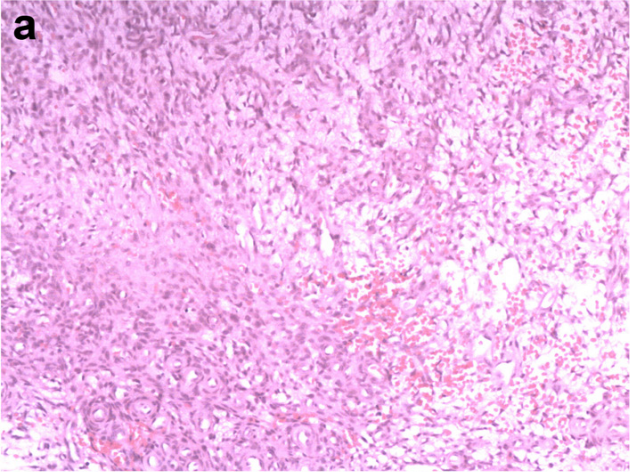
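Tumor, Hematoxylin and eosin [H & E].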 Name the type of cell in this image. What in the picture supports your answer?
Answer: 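Densely packed elongated cells fill most of the field. Nuclei are dark purple and oval to spindle-shaped. Red blood cells lie scattered between the cells.
Short spindle cells.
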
